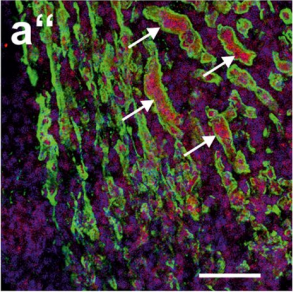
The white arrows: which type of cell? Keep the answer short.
Muscle fibres.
